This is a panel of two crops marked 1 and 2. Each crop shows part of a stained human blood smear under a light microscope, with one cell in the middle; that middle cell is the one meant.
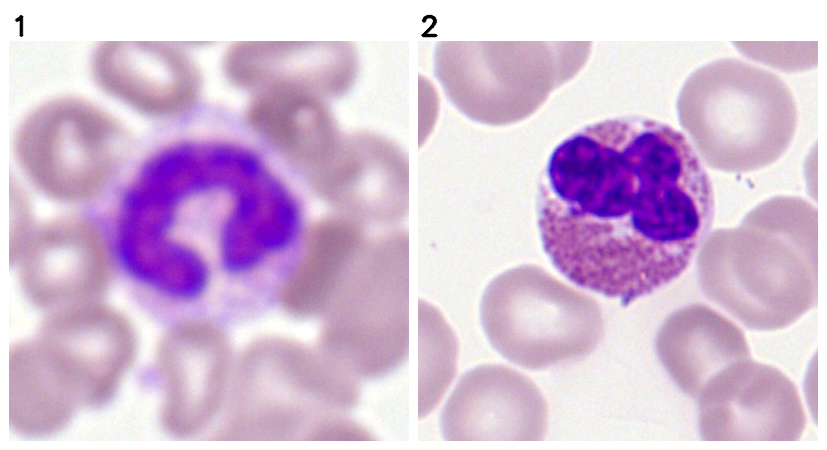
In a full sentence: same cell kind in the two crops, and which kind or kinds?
No, a band neutrophil is centred in crop 1, and an eosinophil is centred in crop 2.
